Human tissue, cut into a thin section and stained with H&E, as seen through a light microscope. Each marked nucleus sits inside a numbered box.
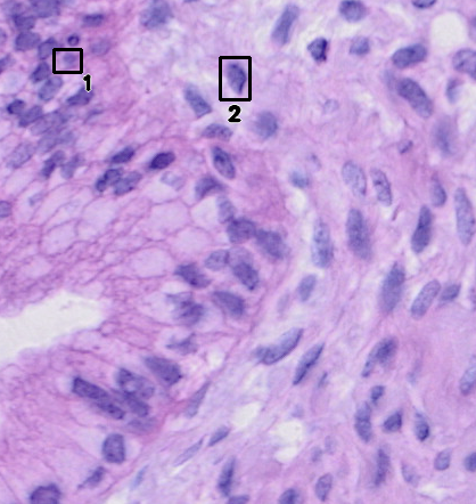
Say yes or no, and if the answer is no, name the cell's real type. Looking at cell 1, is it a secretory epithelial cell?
Yes.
